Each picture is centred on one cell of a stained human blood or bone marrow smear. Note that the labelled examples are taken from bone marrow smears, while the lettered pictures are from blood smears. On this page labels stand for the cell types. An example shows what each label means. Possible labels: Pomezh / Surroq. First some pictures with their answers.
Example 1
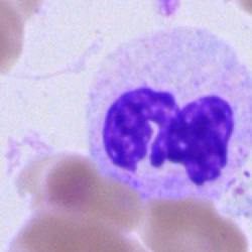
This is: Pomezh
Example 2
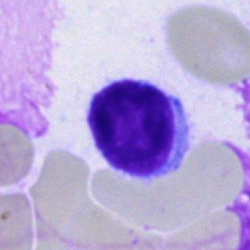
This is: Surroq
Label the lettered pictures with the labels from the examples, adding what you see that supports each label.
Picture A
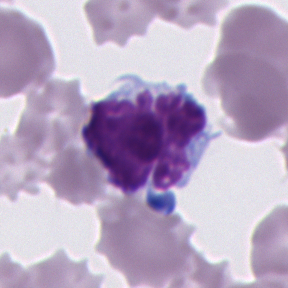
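Surroq: A scant rim of pale blue cytoplasm shows mainly on the right side of the cell.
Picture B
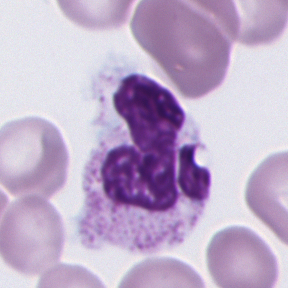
Pomezh: The cytoplasm between the granules is pale and nearly colourless.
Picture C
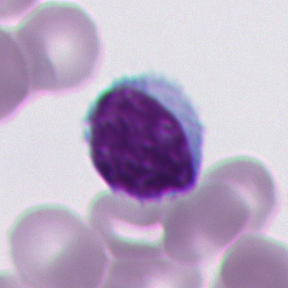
Surroq: The cytoplasm is a narrow rim that is widest along the upper right side of the nucleus.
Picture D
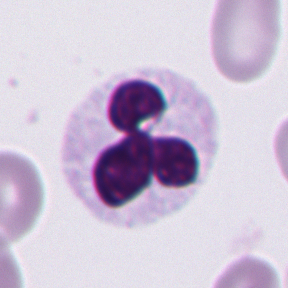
Pomezh: The nucleus is divided into three lobes.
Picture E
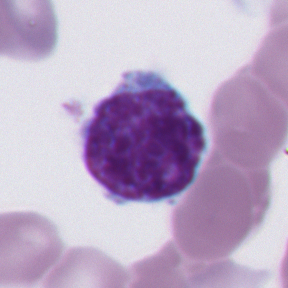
Surroq: The cytoplasm is very scant, forming only a thin rim around most of the nucleus.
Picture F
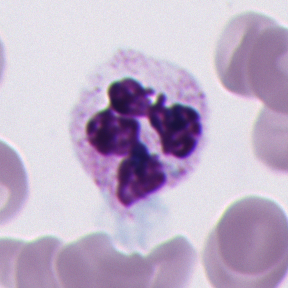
Pomezh: The nucleus is divided into four separate lobes.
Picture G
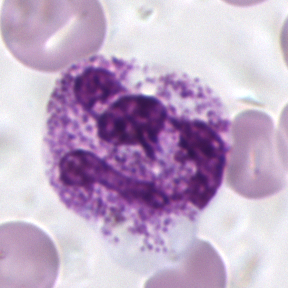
Pomezh: The nucleus is divided into more than two separate lobes.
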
